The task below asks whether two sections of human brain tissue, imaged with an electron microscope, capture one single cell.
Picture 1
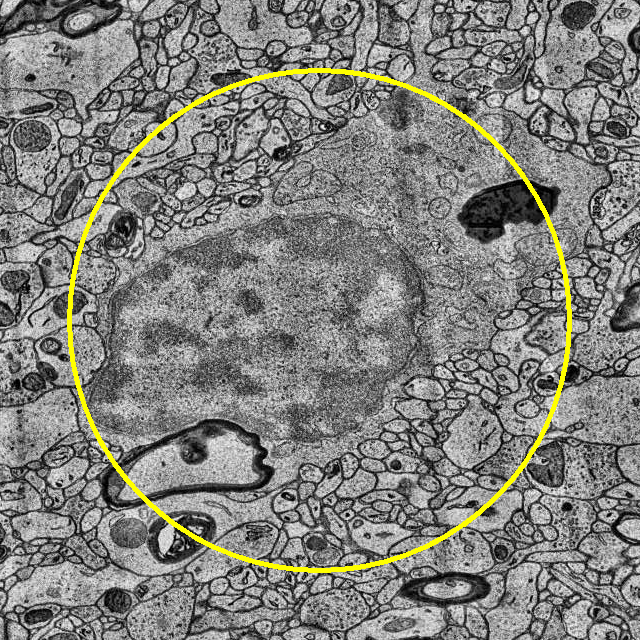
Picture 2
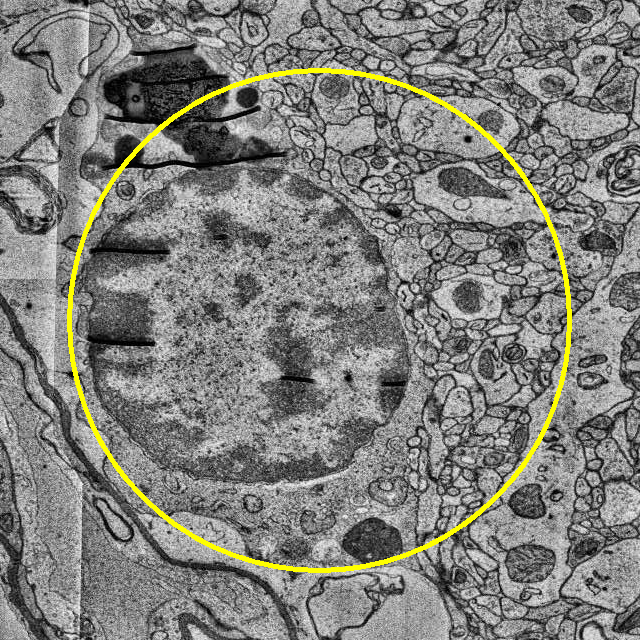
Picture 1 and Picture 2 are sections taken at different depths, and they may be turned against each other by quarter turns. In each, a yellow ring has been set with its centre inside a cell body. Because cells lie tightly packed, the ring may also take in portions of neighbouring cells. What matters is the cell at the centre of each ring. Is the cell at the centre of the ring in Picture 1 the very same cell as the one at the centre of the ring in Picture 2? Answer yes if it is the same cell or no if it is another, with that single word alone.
no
